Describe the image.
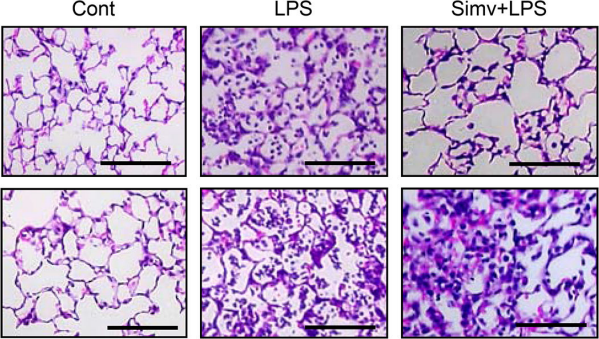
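Six fields of lung tissue are stained pink and purple. In some fields the air spaces are wide and open, bounded by thin pink septa with few purple nuclei. In others the septa are thickened and many small, dark purple nuclei crowd into the walls and fill much of the air space, most densely in one lower field.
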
